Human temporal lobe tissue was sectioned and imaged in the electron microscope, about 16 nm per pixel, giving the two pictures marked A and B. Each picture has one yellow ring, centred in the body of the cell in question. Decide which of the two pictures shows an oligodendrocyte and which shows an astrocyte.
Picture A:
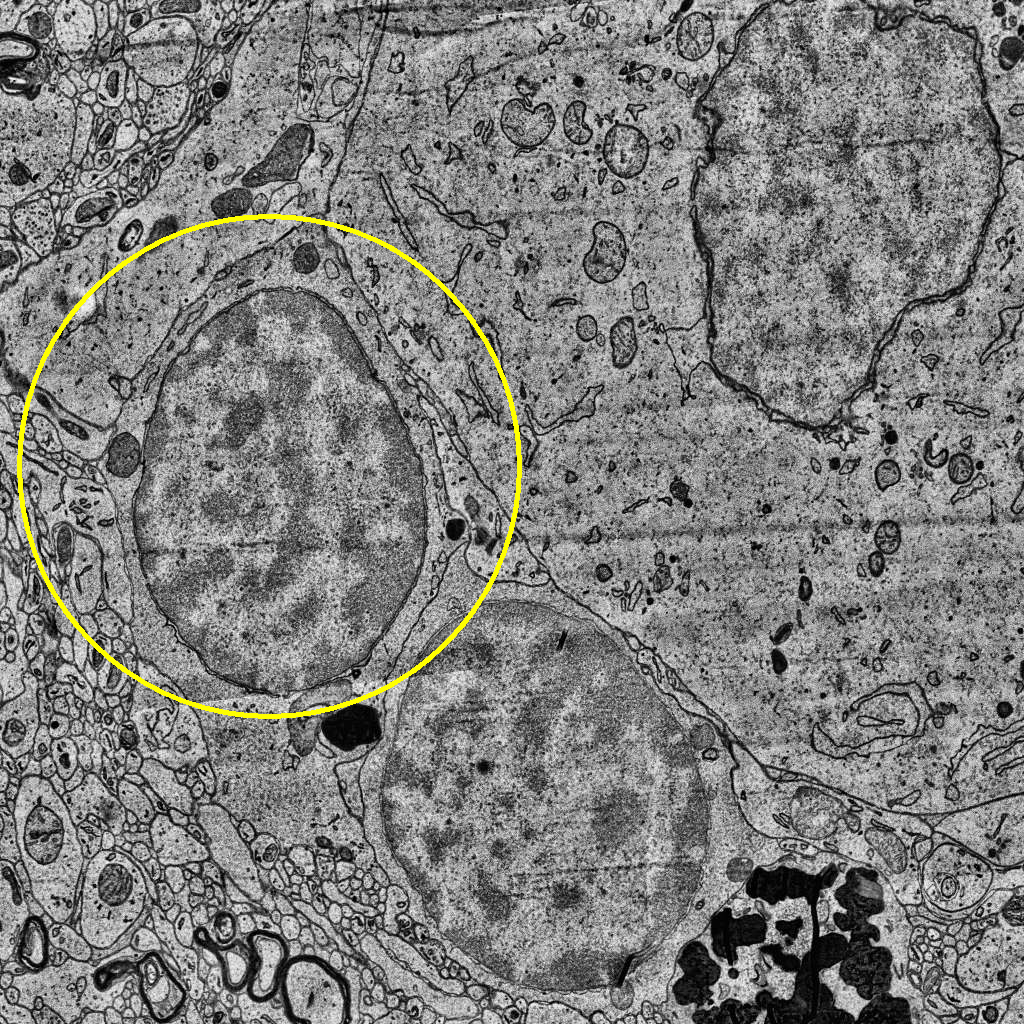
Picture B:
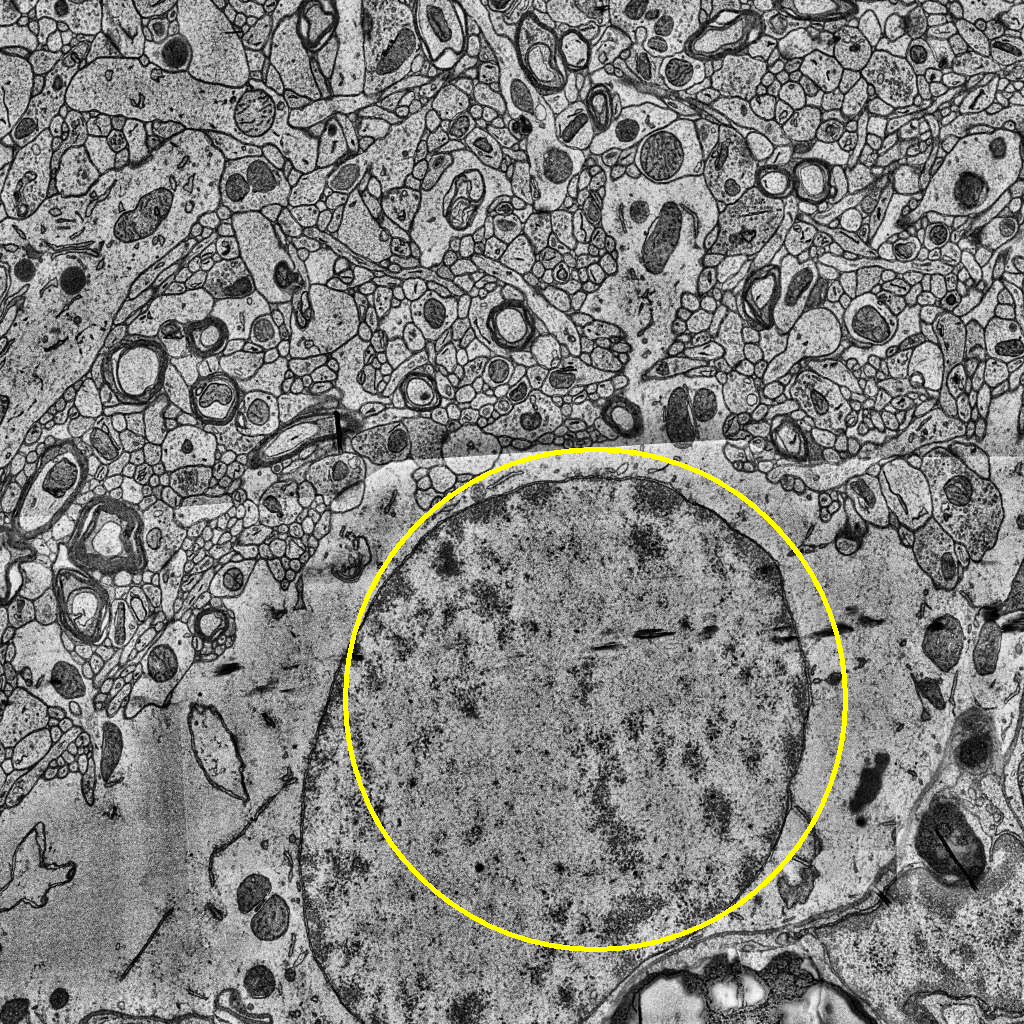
It is picture A that shows an oligodendrocyte, and picture B that shows an astrocyte.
